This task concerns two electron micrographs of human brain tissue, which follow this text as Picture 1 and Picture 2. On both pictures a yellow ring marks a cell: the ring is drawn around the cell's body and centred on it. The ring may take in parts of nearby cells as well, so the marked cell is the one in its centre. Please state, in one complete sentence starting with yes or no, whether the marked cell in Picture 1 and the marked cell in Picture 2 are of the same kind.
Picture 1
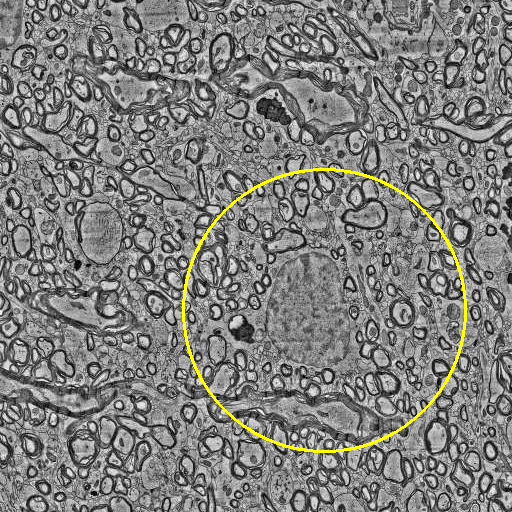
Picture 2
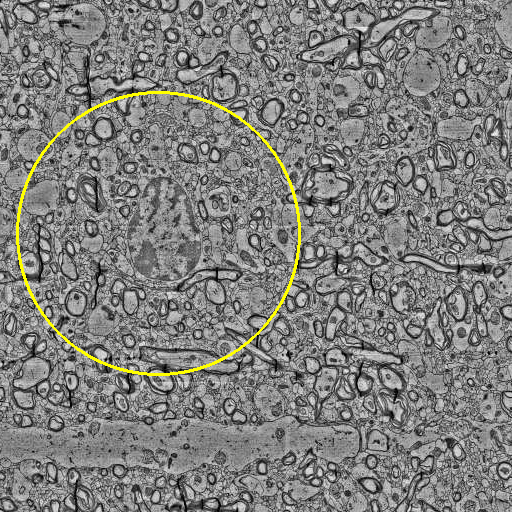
No, the marked cells in the two pictures are of two kinds.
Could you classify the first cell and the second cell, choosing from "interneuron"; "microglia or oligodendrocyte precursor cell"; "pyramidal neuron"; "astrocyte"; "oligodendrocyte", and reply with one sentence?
The second cell is a microglial cell or oligodendrocyte precursor cell, while the first is an oligodendrocyte.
